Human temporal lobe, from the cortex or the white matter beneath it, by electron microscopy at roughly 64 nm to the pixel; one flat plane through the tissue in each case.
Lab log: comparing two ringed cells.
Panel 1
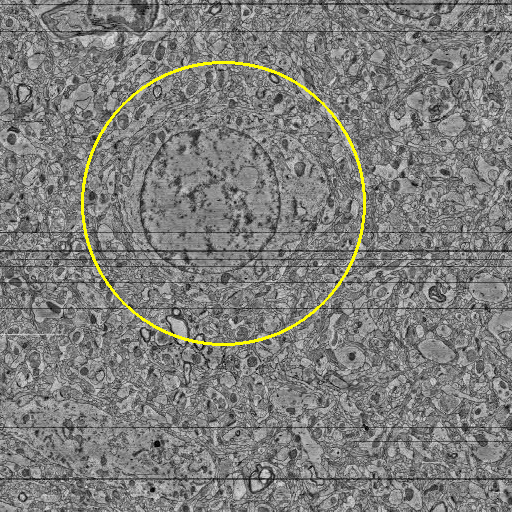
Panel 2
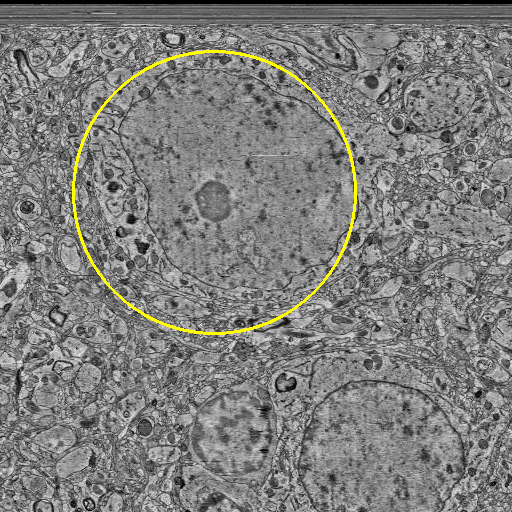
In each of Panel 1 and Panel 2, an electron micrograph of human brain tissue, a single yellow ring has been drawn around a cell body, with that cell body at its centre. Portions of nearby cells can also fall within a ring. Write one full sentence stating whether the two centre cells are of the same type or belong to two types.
The cells at the ring centres in Panel 1 and Panel 2 are of the same type.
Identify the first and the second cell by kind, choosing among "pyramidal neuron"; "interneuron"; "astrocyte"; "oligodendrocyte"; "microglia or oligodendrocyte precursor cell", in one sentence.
Both rings mark a pyramidal neuron, one in each picture.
